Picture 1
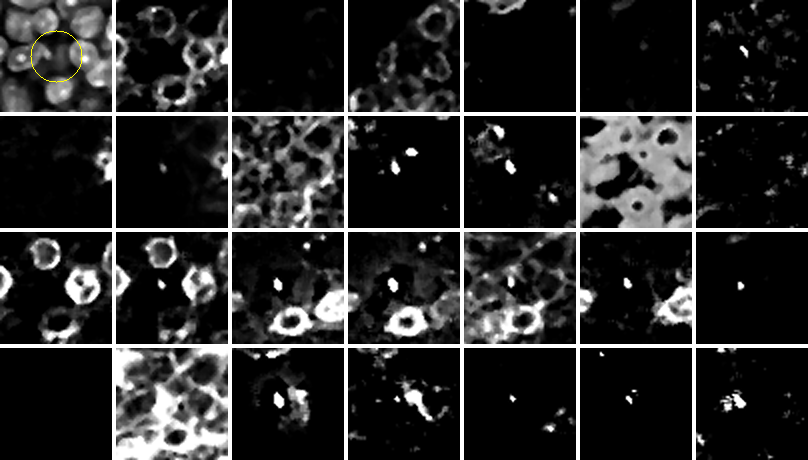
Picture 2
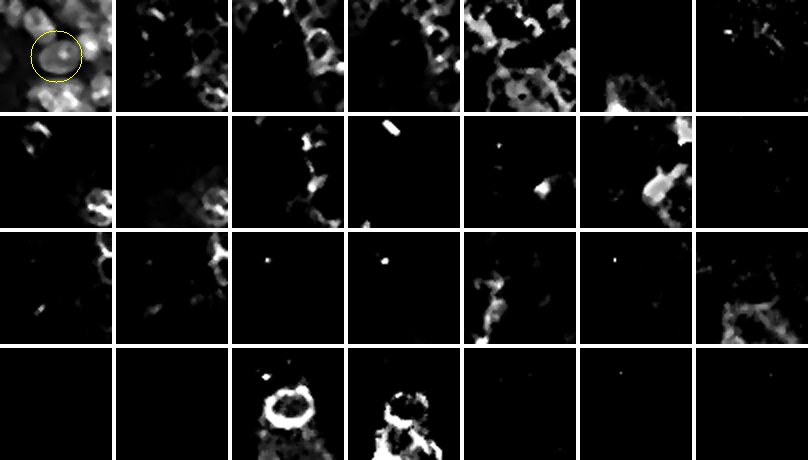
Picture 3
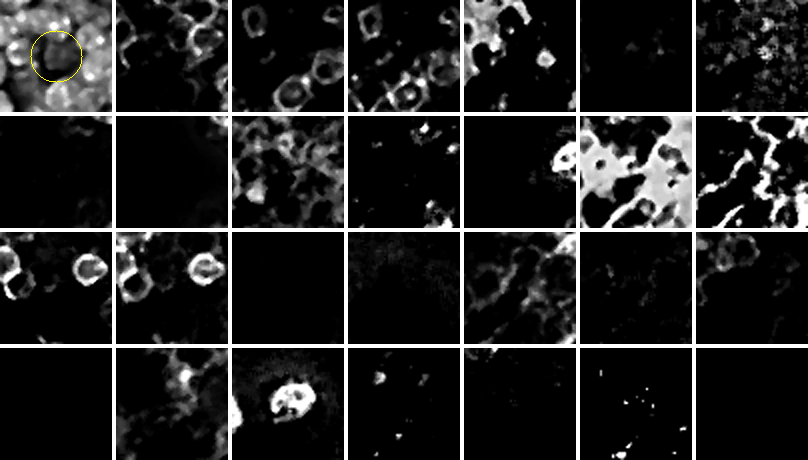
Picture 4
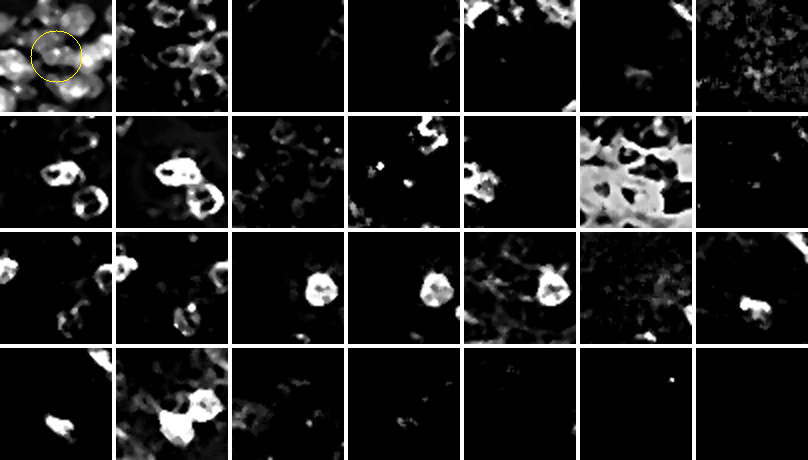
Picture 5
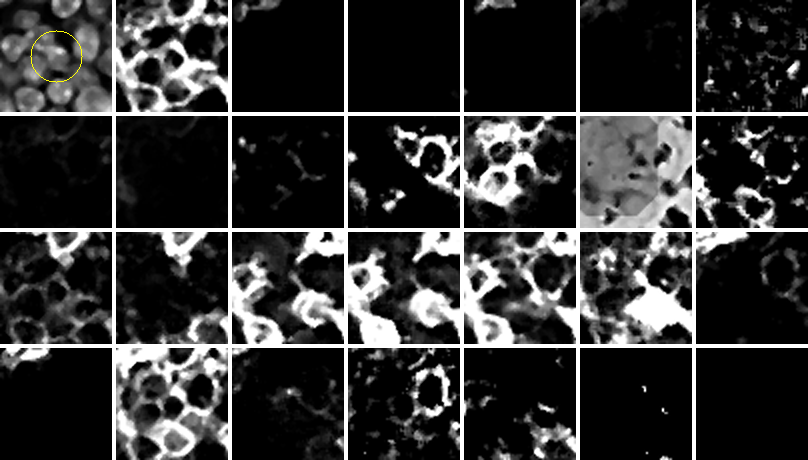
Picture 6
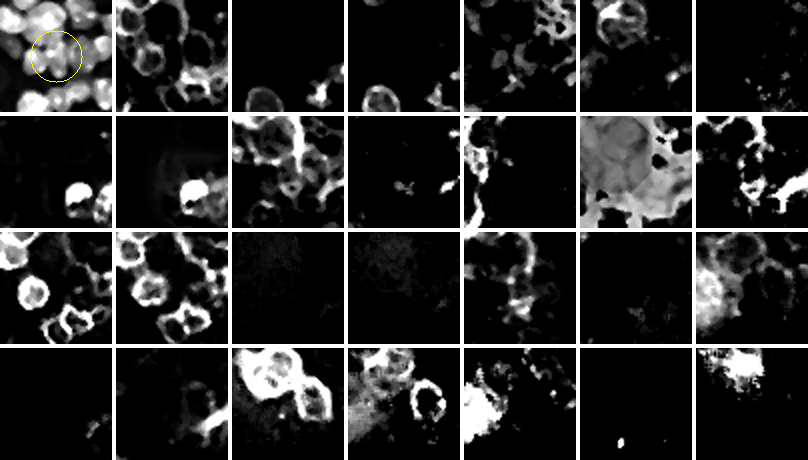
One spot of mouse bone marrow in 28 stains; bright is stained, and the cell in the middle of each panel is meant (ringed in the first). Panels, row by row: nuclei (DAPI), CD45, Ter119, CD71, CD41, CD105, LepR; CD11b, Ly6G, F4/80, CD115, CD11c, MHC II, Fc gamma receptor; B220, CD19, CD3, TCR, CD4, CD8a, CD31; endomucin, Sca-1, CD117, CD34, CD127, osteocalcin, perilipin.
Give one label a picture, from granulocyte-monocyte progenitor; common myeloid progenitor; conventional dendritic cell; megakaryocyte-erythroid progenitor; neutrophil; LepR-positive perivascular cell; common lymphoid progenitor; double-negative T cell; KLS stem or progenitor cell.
Picture 1: KLS stem or progenitor cell
Picture 2: common myeloid progenitor
Picture 3: granulocyte-monocyte progenitor
Picture 4: neutrophil
Picture 5: conventional dendritic cell
Picture 6: granulocyte-monocyte progenitor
